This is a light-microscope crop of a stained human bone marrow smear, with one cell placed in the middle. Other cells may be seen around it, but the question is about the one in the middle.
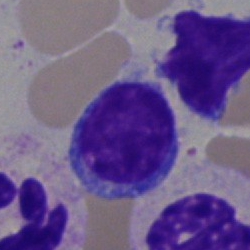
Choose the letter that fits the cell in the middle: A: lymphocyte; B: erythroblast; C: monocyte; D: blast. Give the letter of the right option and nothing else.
A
